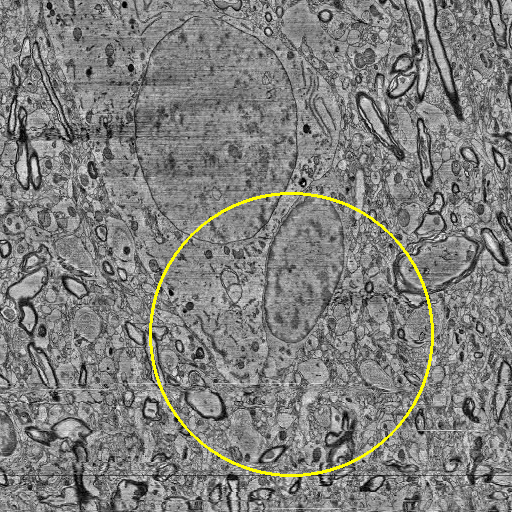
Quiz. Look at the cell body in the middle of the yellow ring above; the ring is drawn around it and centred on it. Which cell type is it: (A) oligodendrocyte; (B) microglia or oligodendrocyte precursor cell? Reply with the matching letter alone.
A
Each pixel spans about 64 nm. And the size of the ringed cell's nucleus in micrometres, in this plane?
The ringed cell's nucleus is roughly 10 by 5 micrometres and clearly longer than it is wide in this plane.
